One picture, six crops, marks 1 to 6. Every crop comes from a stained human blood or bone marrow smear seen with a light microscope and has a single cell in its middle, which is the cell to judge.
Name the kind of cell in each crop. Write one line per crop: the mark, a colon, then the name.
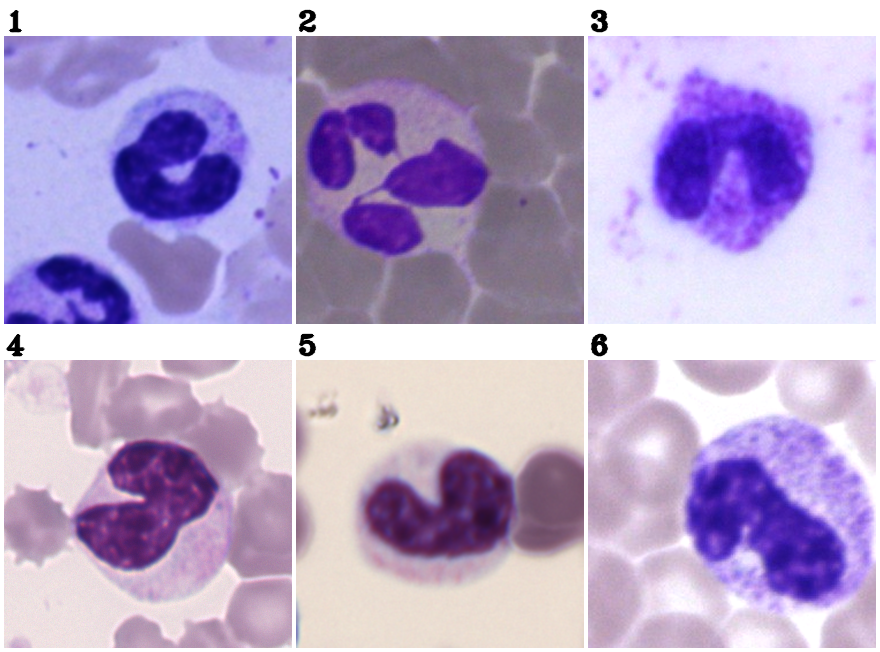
1: band neutrophil
2: segmented neutrophil
3: band neutrophil
4: band neutrophil
5: band neutrophil
6: band neutrophil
